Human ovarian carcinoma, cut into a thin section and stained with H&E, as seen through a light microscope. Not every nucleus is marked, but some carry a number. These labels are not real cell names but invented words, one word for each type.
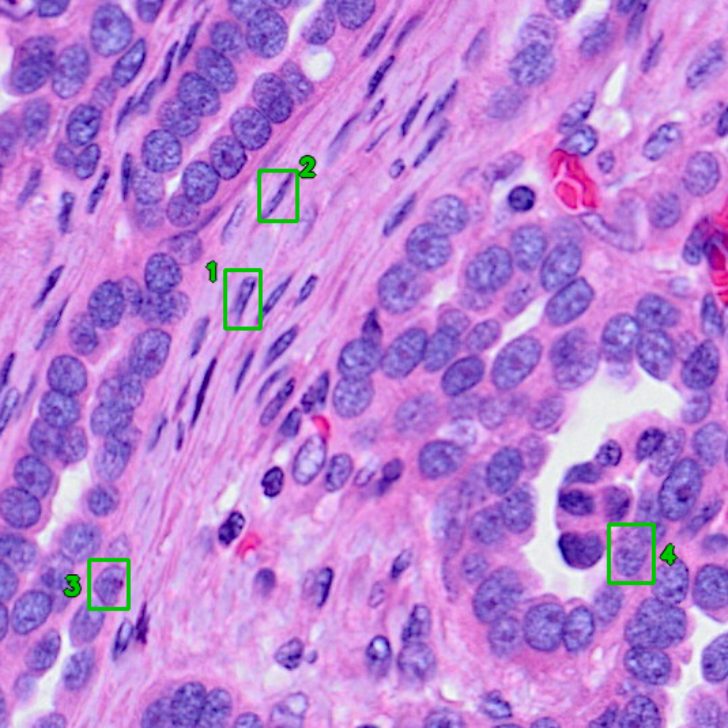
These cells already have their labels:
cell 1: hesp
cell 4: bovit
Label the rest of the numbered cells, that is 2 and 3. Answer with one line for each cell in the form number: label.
2: hesp
3: bovit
